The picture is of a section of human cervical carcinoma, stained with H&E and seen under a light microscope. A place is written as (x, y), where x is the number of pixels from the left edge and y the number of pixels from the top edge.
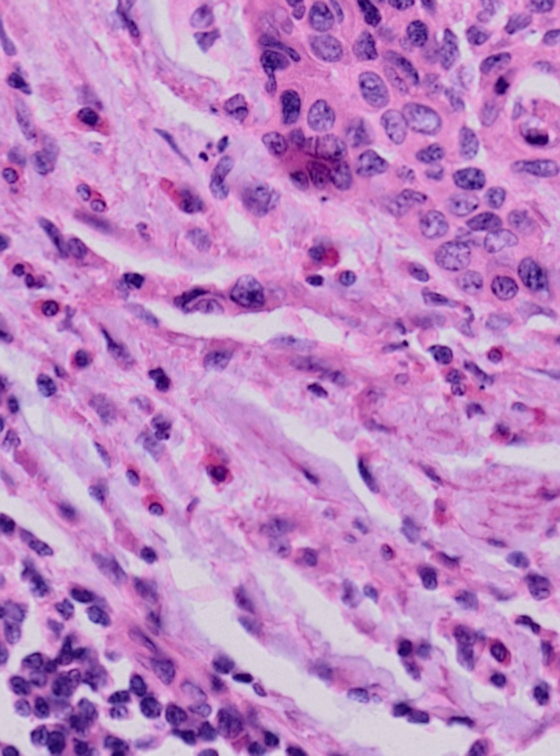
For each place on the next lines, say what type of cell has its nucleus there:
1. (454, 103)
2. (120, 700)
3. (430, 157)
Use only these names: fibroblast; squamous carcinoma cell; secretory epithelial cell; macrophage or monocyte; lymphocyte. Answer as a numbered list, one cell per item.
1. squamous carcinoma cell
2. lymphocyte
3. squamous carcinoma cell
